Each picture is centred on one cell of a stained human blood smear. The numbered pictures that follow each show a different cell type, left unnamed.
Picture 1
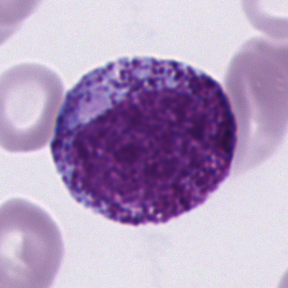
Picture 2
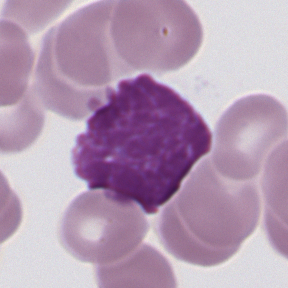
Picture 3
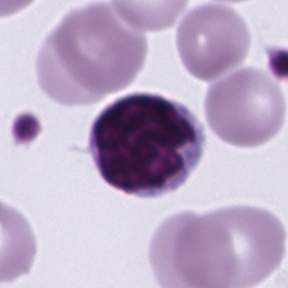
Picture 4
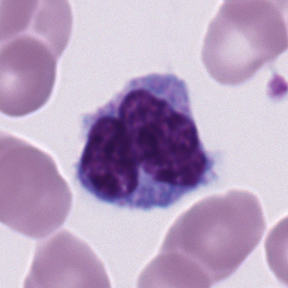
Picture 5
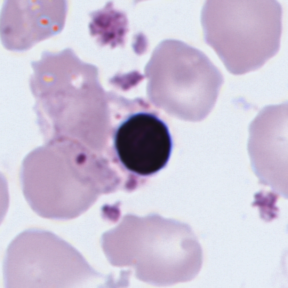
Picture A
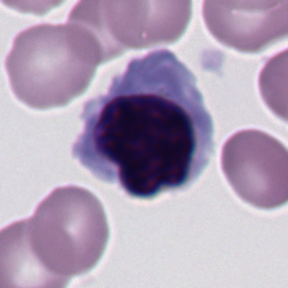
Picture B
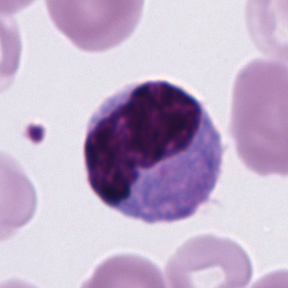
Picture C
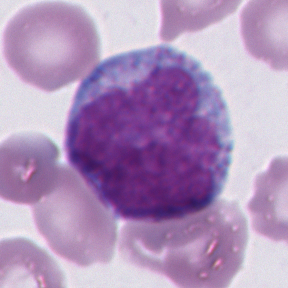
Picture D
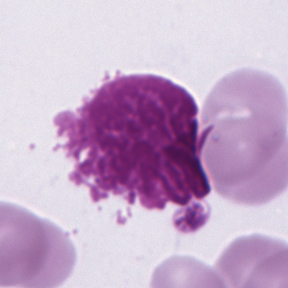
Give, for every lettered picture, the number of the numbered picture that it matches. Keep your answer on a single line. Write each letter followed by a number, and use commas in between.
A 5, B 4, C 1, D 2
